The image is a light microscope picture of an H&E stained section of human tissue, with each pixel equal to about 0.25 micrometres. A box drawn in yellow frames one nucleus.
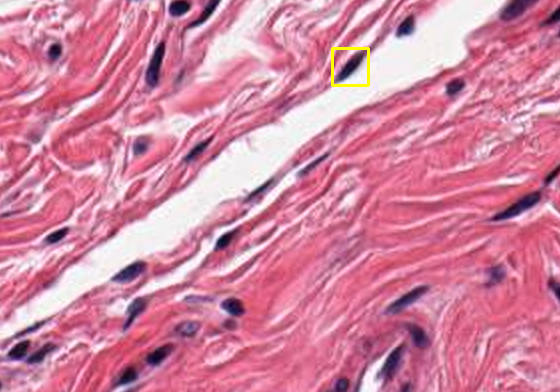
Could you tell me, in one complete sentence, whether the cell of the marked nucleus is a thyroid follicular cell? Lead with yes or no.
No, the marked nucleus forms part of a supporting cell instead of a thyroid follicular cell.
